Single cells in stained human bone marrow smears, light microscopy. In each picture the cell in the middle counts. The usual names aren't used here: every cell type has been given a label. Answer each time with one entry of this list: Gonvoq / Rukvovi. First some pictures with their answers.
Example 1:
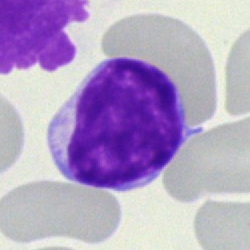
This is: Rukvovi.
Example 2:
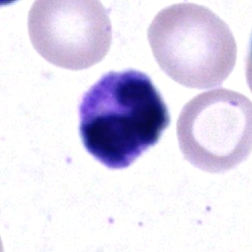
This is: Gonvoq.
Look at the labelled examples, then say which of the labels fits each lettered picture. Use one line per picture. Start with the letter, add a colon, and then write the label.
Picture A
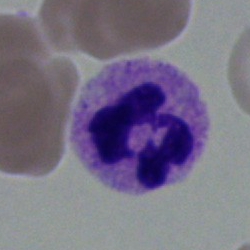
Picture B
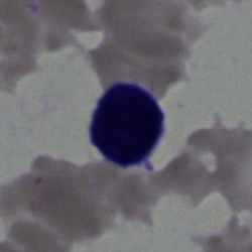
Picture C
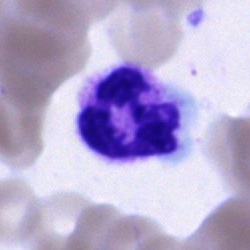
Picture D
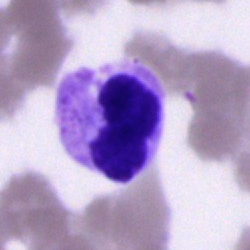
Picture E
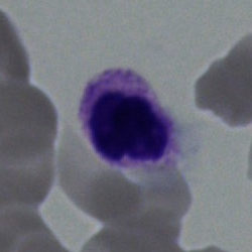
A: Gonvoq.
B: Rukvovi.
C: Gonvoq.
D: Gonvoq.
E: Gonvoq.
